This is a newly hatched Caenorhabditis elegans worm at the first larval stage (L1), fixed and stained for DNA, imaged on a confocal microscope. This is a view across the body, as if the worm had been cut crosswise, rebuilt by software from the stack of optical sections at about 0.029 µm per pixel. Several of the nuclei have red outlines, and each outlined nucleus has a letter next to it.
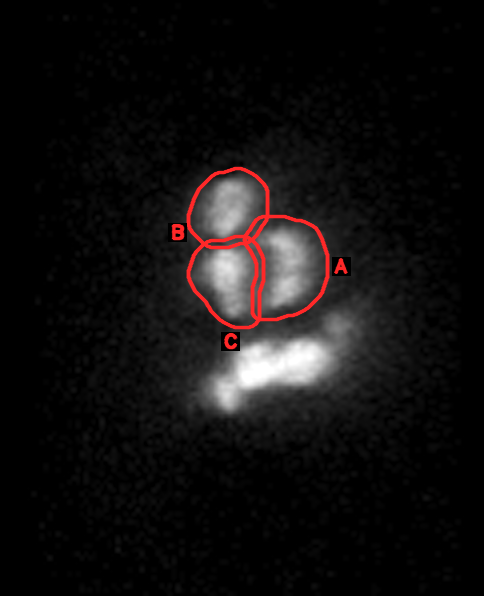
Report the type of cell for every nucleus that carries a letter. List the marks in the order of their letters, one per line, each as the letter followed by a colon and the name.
A: valve cell of the gut
B: body wall muscle cell
C: valve cell of the gut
